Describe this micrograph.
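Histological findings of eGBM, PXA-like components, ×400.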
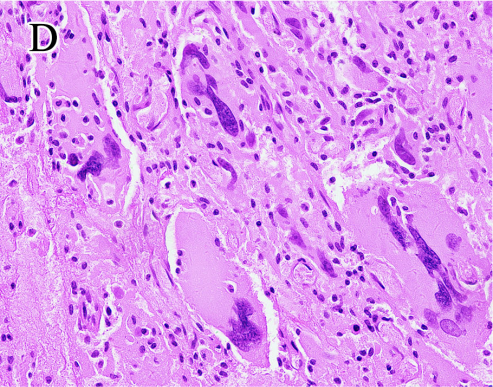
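This tumour tissue contains very large pleomorphic cells with broad pink cytoplasm and multiple dark, clustered or lobed nuclei. They lie among smaller elongated spindle-shaped cells with oval nuclei in a pink fibrillary background.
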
